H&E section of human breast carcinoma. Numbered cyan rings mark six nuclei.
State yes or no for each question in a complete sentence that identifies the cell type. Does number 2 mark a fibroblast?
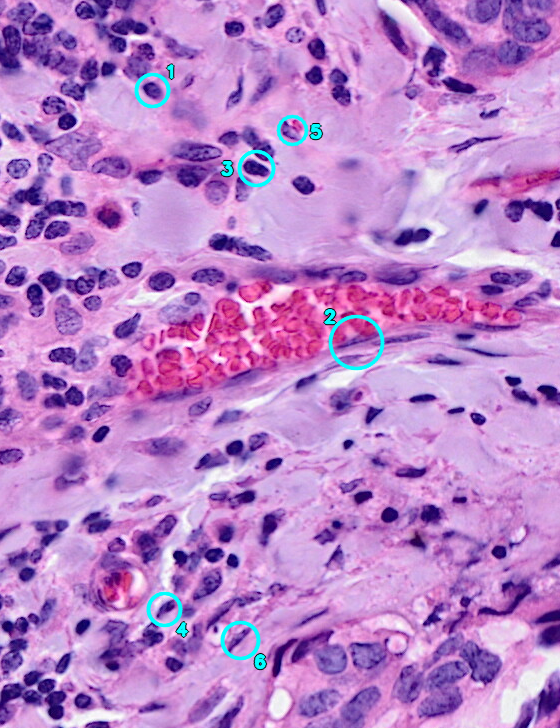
No, the cell bearing the number 2 is an endothelial cell, not a fibroblast.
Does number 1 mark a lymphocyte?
Yes, the cell at the mark numbered 1 is a lymphocyte.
